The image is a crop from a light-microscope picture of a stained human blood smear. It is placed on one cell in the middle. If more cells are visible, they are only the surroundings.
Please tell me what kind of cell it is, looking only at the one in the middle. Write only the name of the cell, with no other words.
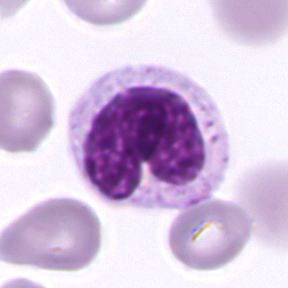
band neutrophil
